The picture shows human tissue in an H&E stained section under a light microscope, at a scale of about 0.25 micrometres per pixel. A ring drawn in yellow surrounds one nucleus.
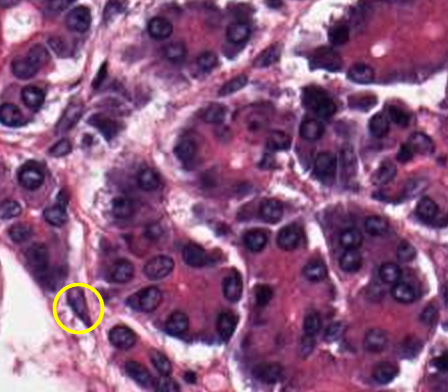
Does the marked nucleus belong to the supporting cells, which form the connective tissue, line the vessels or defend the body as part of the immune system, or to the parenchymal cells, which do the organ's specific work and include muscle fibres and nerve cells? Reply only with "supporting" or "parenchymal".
supporting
